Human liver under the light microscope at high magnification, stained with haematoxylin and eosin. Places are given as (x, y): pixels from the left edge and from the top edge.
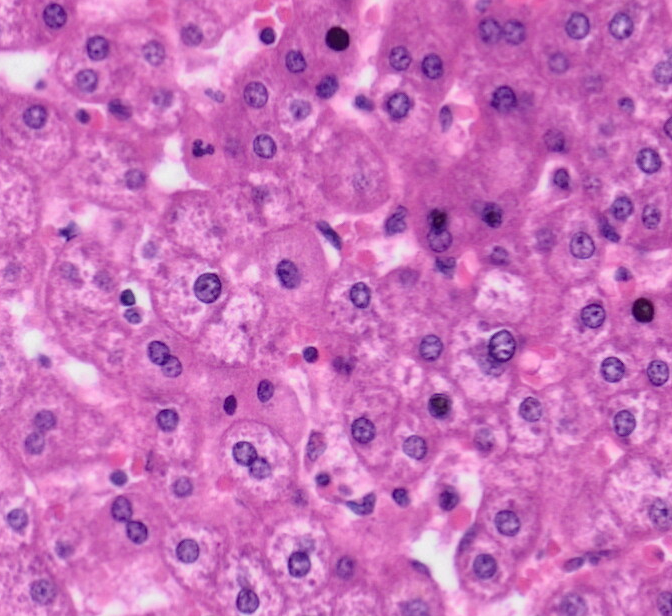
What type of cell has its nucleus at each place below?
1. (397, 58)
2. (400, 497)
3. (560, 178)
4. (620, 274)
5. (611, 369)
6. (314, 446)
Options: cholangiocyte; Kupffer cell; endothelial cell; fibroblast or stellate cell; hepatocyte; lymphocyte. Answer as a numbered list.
1. hepatocyte
2. lymphocyte
3. Kupffer cell
4. lymphocyte
5. hepatocyte
6. Kupffer cell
